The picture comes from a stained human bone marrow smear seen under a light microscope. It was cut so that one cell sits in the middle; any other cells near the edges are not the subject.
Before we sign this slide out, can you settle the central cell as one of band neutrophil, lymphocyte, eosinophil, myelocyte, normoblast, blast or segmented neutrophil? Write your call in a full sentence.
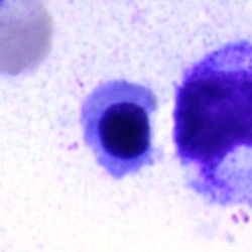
The cell at the central position in this crop is a normoblast.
